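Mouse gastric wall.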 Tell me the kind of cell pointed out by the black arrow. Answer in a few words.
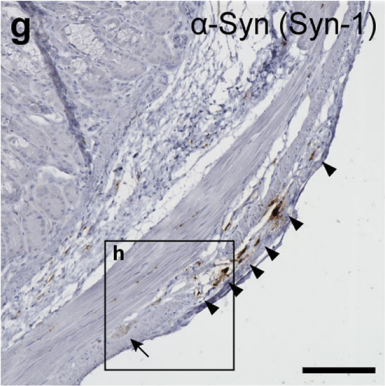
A: Neurons in the myenteric plexus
